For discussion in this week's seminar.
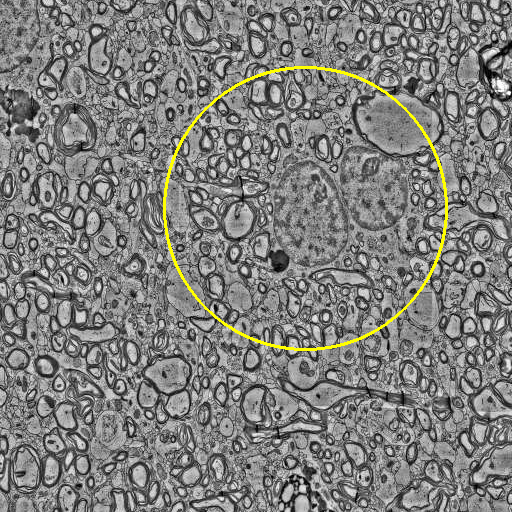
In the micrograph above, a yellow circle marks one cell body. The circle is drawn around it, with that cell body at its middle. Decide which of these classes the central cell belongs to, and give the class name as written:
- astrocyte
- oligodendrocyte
oligodendrocyte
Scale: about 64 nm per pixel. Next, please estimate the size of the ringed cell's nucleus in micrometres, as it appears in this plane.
The nucleus is approximately 7 micrometers long by 5 micrometers wide in this plane.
